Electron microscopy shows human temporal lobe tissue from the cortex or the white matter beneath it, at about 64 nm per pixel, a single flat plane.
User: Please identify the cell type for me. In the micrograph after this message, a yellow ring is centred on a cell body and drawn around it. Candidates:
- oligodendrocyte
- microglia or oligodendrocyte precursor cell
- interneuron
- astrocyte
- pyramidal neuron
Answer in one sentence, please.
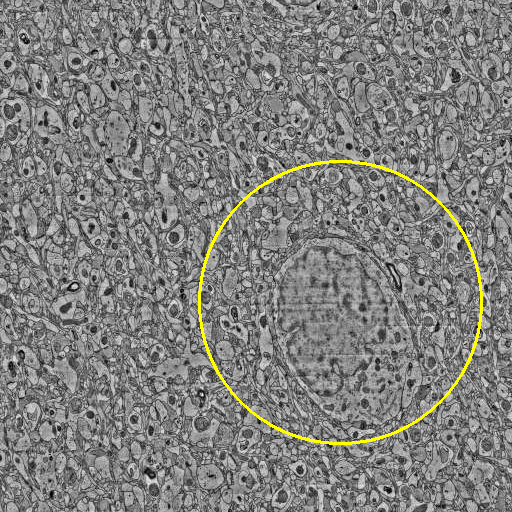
The ring is drawn around the cell body of an interneuron.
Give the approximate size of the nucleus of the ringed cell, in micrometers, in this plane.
In this plane, the nucleus is roughly 9 by 7 micrometres.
